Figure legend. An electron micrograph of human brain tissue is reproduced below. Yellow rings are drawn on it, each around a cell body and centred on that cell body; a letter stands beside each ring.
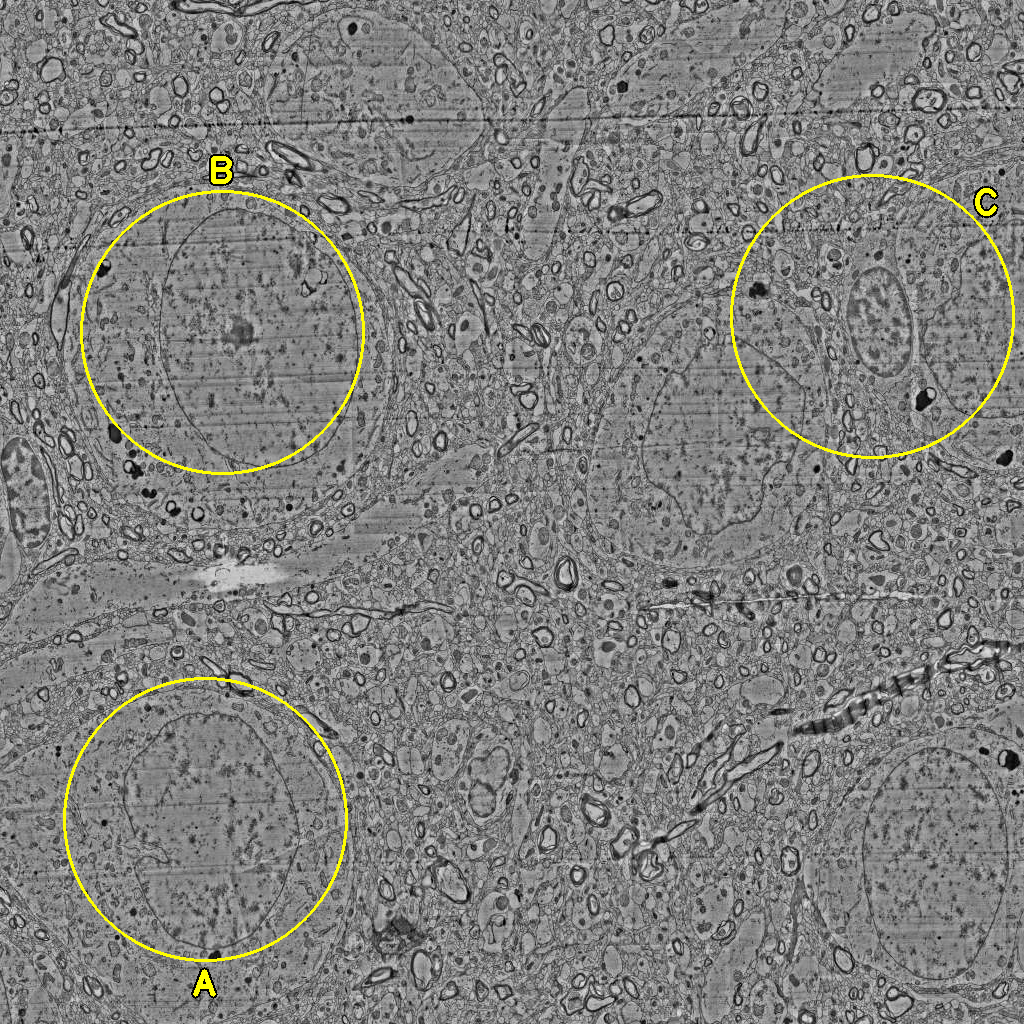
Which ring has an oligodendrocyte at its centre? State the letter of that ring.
C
